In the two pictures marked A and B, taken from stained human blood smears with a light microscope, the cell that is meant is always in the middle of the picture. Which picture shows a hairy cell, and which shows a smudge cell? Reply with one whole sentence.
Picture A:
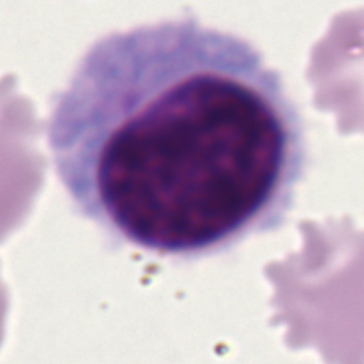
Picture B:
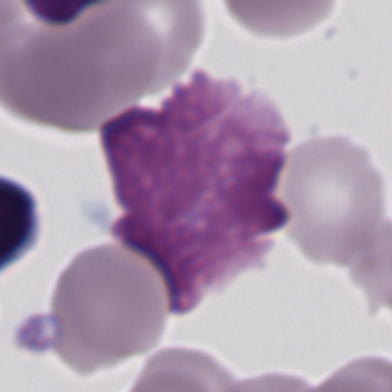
The cell in picture A is a hairy cell, and the one in picture B is a smudge cell.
